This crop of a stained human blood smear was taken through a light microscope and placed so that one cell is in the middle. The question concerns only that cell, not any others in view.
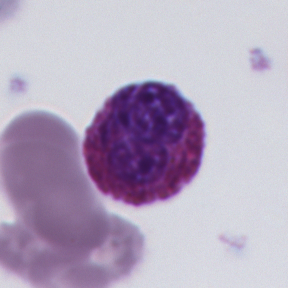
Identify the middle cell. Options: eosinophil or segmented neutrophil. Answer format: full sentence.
The crop centres on a single cell, and that cell is an eosinophil.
